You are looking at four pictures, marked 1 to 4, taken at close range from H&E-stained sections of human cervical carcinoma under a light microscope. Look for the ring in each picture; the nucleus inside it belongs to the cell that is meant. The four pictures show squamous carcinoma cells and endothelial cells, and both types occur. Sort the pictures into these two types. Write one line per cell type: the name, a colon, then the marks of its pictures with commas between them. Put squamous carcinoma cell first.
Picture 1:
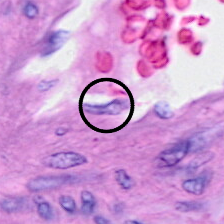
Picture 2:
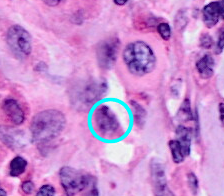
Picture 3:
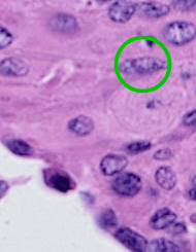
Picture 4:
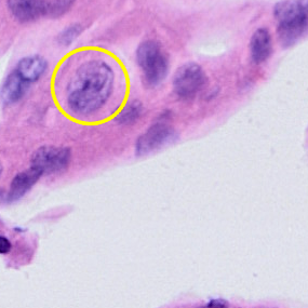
squamous carcinoma cell: 3, 4
endothelial cell: 1, 2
